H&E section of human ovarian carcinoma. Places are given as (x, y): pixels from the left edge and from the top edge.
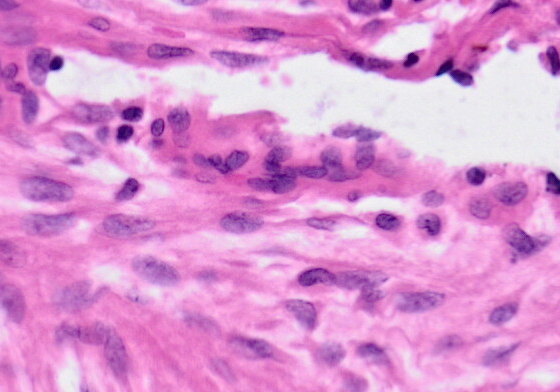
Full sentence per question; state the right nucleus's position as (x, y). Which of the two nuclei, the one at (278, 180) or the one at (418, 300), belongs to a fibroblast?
Here the nucleus at (418, 300) is the one that belongs to a fibroblast.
